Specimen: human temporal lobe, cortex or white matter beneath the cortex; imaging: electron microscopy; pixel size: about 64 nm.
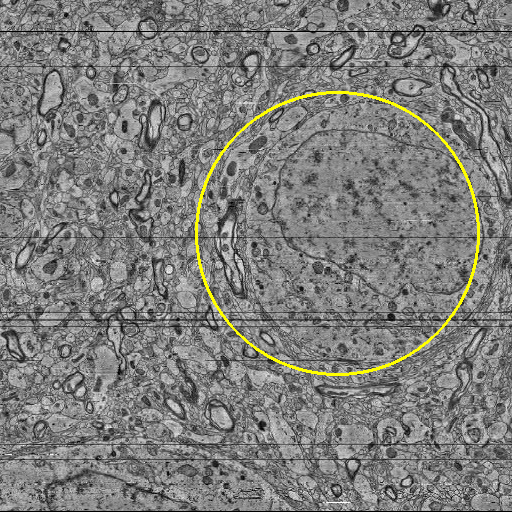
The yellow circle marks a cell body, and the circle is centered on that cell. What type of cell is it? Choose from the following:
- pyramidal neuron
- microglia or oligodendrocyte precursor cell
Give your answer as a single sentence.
This cell body belongs to a pyramidal neuron.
